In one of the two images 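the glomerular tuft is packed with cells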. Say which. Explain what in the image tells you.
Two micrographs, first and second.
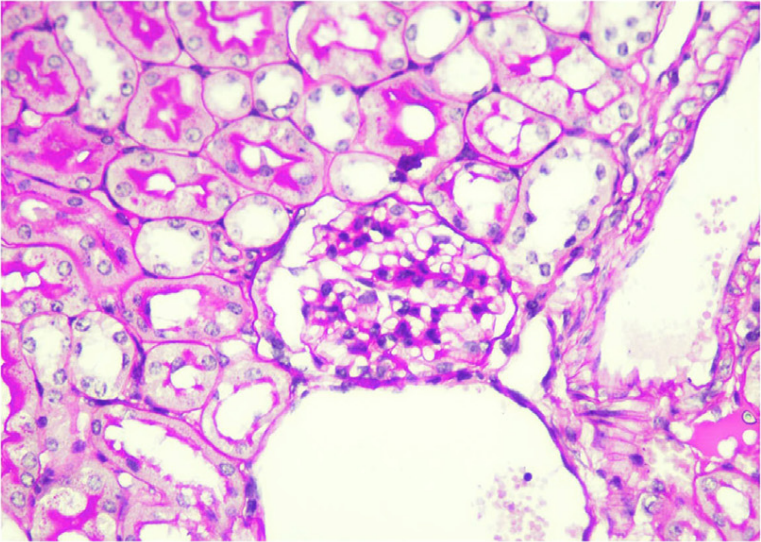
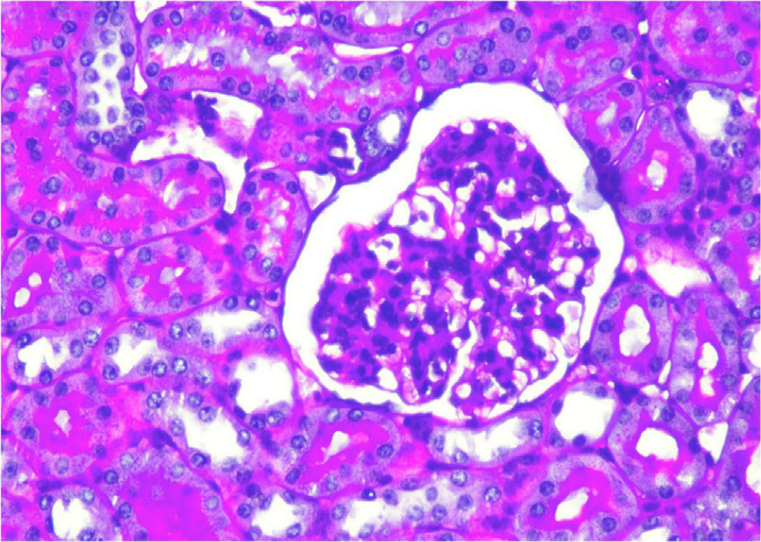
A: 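First image: the glomerulus has scattered nuclei with many open, clear capillary loops.
Answer: the second image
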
